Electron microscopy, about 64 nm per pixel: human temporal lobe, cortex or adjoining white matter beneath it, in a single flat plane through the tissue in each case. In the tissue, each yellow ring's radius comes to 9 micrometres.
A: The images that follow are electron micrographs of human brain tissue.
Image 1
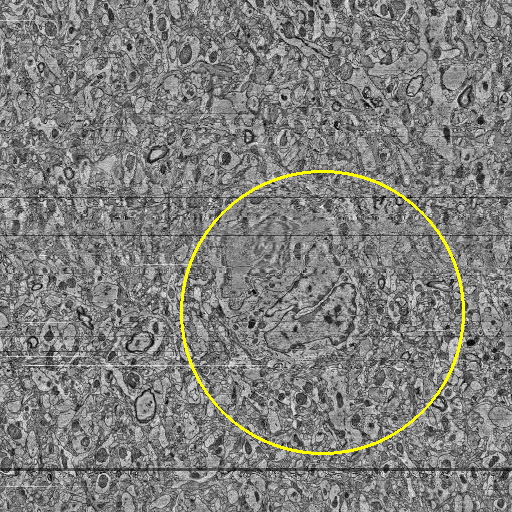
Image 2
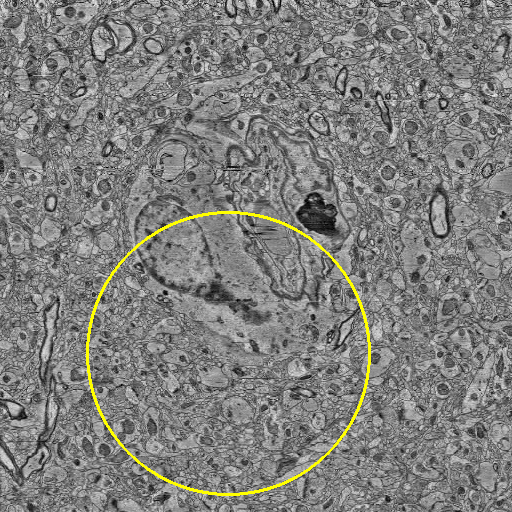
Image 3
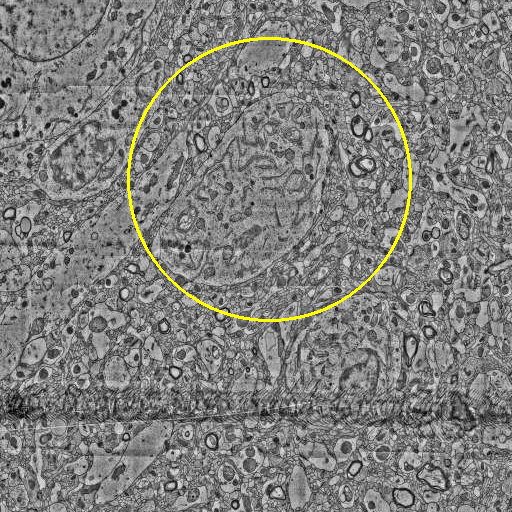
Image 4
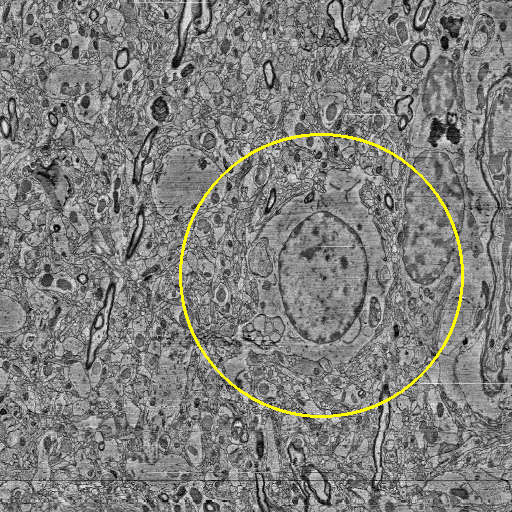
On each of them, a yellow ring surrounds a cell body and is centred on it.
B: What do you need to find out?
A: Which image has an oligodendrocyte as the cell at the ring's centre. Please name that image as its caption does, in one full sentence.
Image 2 is the one whose ring has the sought cell at its centre.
